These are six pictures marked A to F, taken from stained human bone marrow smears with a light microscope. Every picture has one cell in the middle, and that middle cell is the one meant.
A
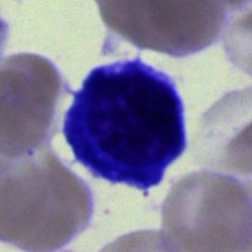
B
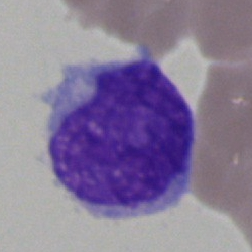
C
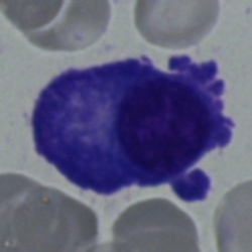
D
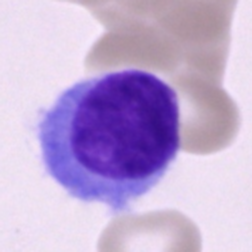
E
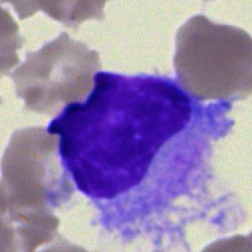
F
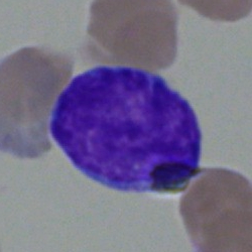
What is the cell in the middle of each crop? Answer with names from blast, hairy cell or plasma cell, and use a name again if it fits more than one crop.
A: plasma cell
B: blast
C: plasma cell
D: hairy cell
E: hairy cell
F: blast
